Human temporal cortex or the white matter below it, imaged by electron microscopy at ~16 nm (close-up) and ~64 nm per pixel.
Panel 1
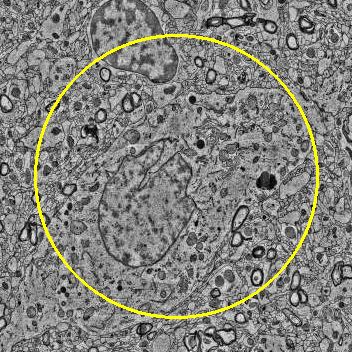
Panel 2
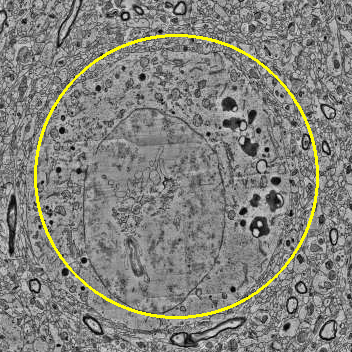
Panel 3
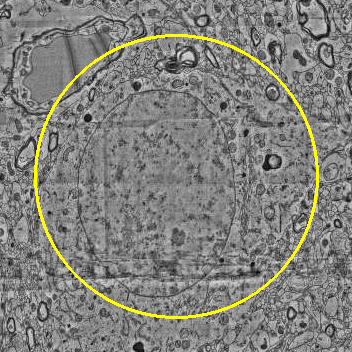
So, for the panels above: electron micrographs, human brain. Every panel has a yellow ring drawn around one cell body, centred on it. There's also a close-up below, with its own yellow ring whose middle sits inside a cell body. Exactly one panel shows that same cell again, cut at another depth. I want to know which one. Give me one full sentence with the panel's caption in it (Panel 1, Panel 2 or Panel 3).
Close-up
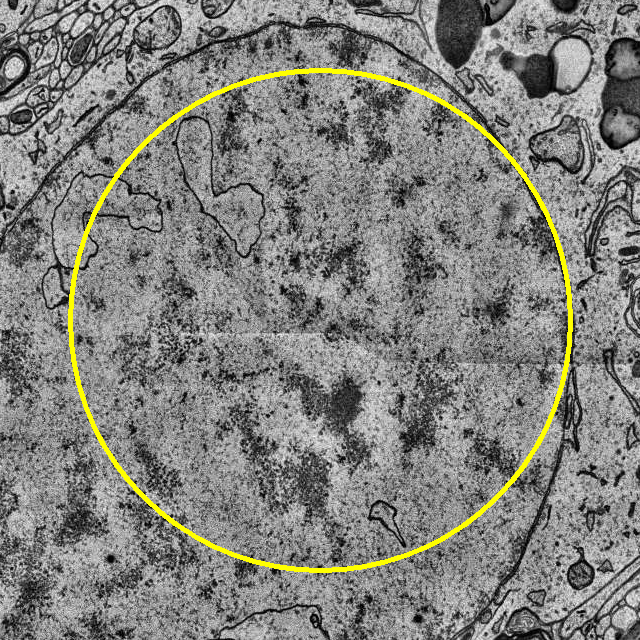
In the close-up, the cell is the one circled within Panel 1.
